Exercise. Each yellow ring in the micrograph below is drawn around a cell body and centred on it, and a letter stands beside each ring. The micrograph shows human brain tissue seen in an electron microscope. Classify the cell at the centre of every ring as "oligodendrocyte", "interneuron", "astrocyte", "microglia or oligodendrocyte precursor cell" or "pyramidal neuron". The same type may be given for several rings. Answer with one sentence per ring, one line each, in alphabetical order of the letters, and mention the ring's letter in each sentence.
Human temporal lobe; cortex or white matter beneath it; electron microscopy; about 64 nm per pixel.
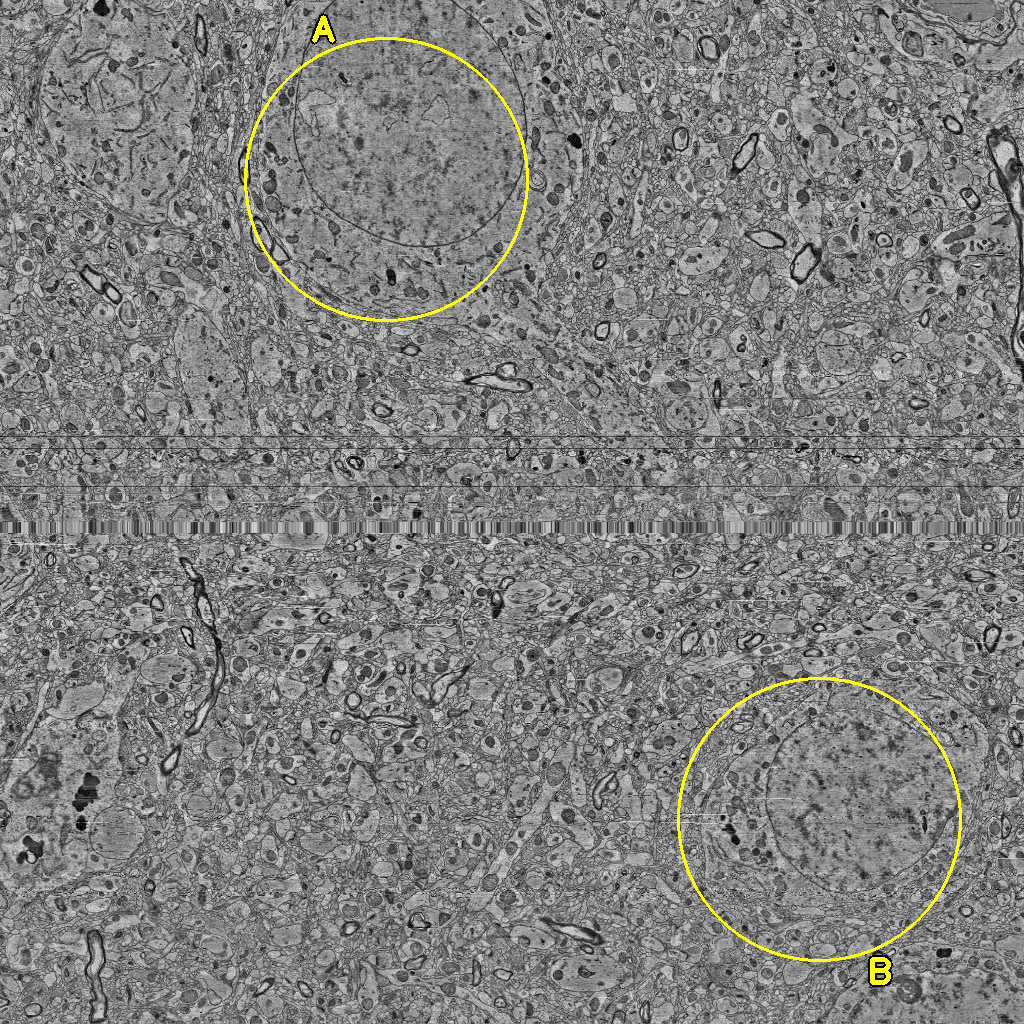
In ring A, the central cell is a pyramidal neuron.
In ring B, the central cell is an interneuron.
